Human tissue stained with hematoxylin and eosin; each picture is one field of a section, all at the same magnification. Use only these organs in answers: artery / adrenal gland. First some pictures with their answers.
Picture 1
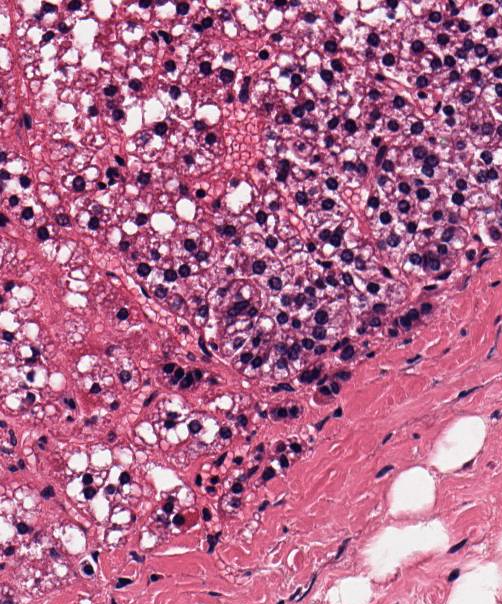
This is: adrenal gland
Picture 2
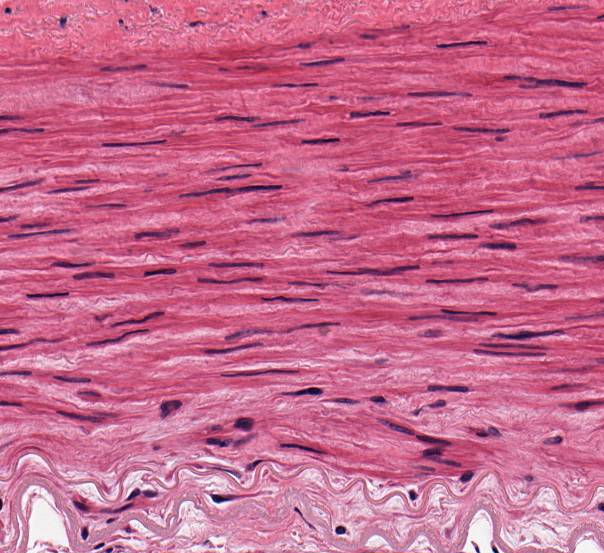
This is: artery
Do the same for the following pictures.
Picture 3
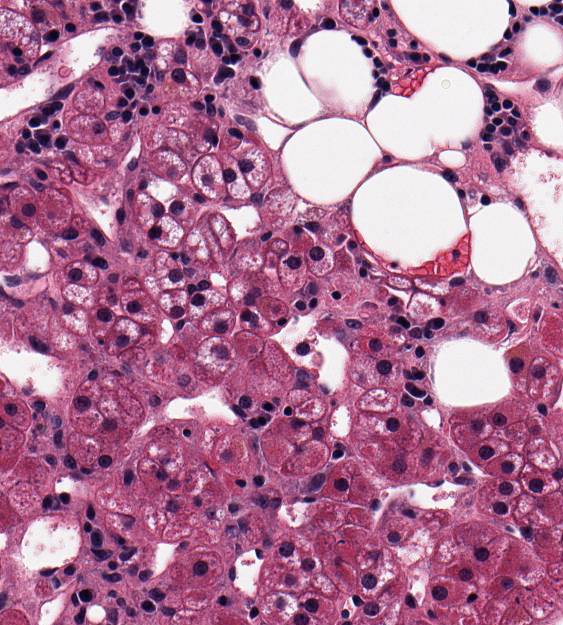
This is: adrenal gland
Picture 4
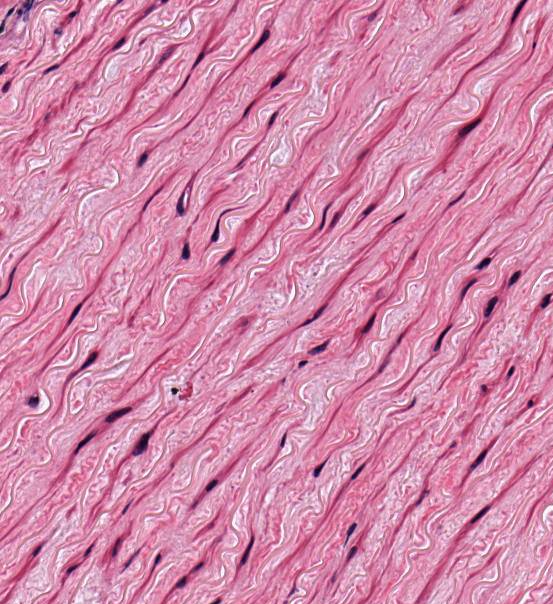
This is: artery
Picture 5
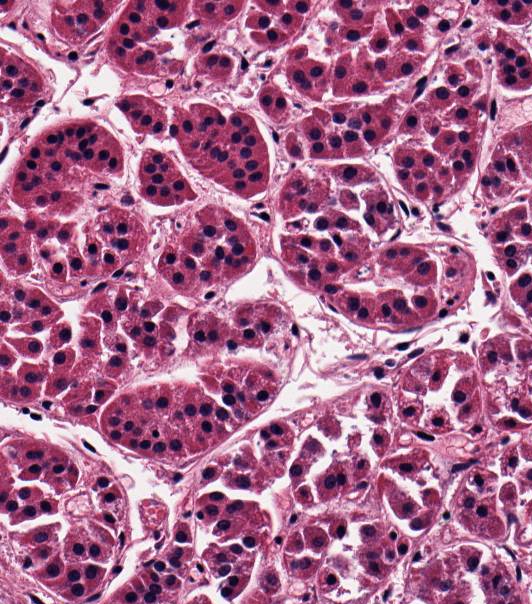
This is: adrenal gland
